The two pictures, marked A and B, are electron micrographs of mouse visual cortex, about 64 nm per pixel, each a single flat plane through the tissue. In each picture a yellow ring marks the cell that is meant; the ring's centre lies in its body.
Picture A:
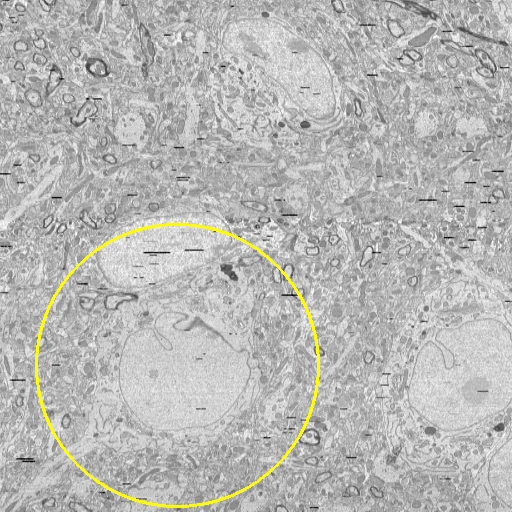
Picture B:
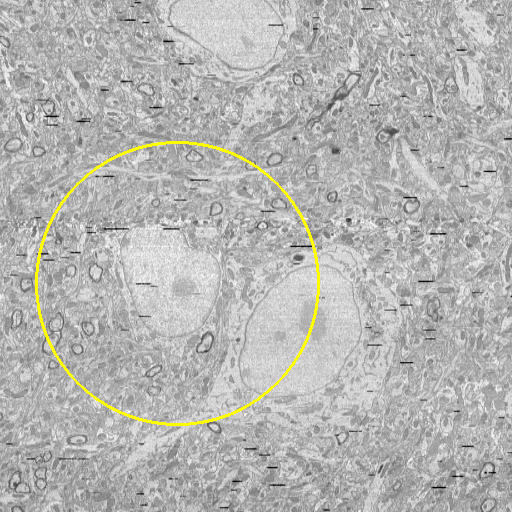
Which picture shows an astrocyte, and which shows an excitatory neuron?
Picture B shows an astrocyte, while picture A shows an excitatory neuron.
